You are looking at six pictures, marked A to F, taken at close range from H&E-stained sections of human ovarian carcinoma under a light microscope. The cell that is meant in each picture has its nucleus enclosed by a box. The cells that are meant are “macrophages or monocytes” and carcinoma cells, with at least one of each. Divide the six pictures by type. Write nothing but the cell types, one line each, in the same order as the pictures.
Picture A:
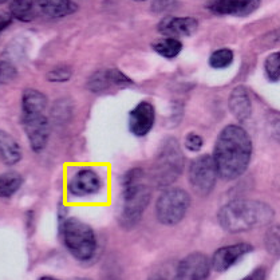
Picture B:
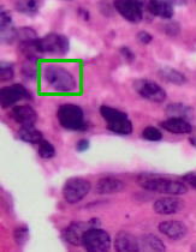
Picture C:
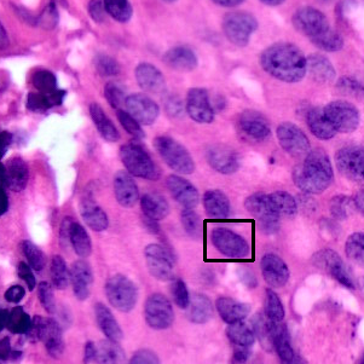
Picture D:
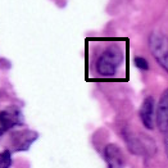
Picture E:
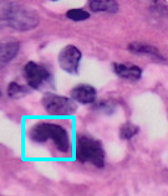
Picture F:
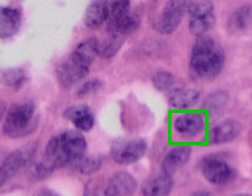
macrophage or monocyte
macrophage or monocyte
carcinoma cell
macrophage or monocyte
carcinoma cell
macrophage or monocyte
